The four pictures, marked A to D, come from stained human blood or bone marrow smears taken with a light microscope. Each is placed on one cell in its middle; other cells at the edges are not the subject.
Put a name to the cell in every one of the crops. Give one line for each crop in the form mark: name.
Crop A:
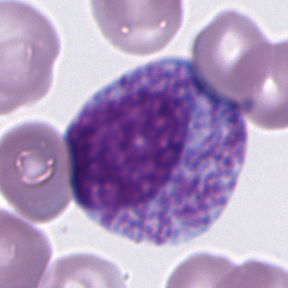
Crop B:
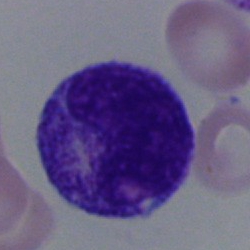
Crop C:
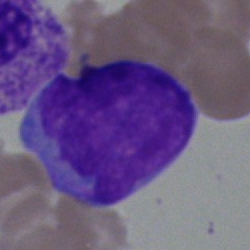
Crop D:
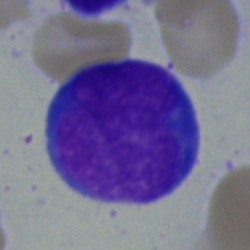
A: myelocyte
B: promyelocyte
C: blast
D: blast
